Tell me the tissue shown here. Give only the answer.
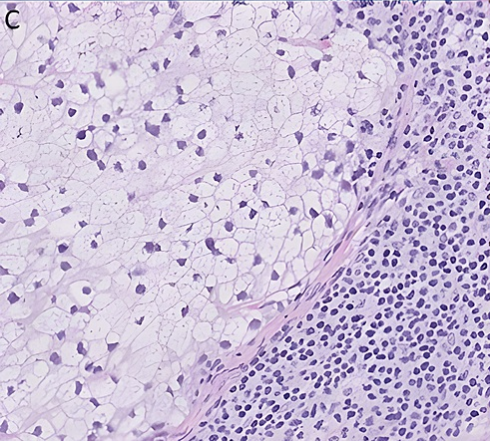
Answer: Lymph node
